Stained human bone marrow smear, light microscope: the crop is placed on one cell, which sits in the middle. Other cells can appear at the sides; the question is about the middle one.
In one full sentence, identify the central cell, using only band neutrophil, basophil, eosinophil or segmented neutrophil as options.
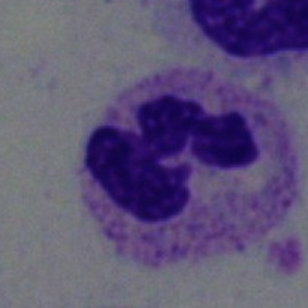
The centrally located cell in the crop is a segmented neutrophil.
